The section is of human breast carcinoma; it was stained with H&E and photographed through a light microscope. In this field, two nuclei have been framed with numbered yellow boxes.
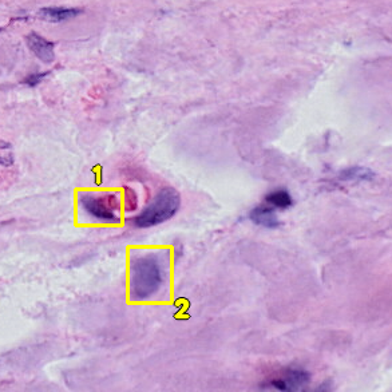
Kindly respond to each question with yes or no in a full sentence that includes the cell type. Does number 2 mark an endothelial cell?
No, the marked cell 2 is not an endothelial cell, being instead a fibroblast.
